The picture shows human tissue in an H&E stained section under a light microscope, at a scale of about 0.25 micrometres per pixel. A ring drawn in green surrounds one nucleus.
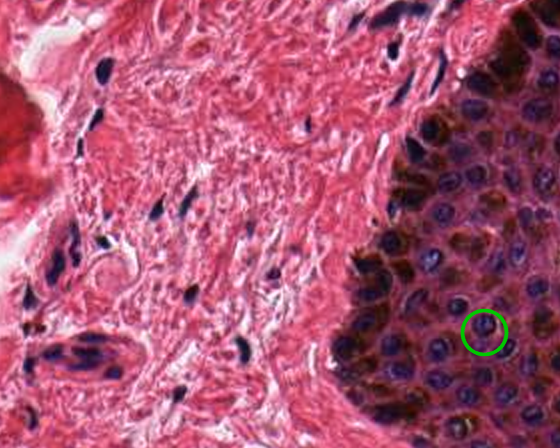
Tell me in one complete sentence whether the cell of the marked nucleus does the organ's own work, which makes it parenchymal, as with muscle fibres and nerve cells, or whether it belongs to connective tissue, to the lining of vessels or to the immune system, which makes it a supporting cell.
To a parenchymal cell, namely a keratinocyte, belongs the marked nucleus.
